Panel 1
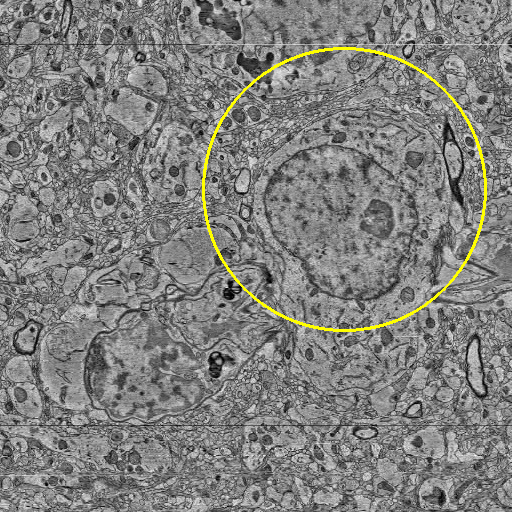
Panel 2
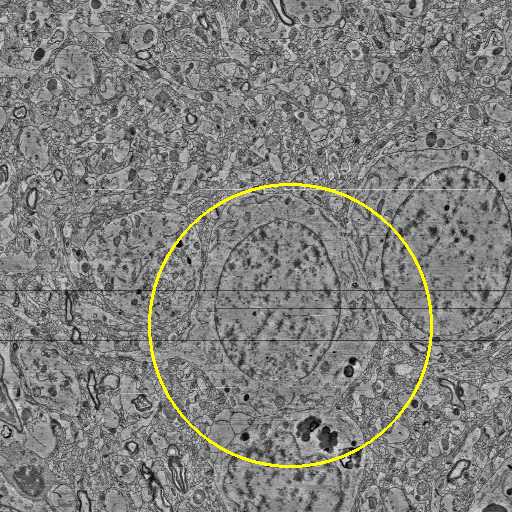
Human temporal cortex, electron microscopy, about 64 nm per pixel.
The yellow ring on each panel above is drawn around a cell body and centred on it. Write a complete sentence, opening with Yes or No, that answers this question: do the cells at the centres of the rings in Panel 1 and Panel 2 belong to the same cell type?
Yes, both cells belong to the same cell type.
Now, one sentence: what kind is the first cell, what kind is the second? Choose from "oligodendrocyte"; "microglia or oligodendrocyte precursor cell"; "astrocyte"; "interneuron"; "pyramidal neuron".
The cell in the first picture is a pyramidal neuron, and so is the one in the second.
